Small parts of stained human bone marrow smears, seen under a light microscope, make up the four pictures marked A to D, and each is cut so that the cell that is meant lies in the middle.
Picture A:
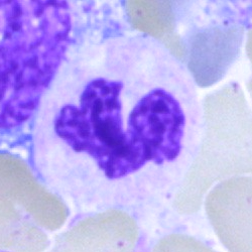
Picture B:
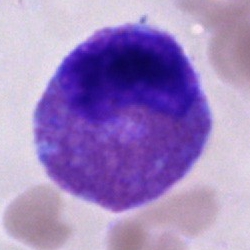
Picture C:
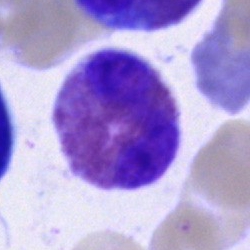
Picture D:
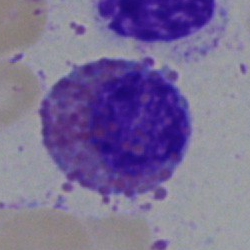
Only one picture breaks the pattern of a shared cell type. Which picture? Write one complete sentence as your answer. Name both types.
Picture A is the odd one out: it shows a segmented neutrophil, while the others show eosinophils.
